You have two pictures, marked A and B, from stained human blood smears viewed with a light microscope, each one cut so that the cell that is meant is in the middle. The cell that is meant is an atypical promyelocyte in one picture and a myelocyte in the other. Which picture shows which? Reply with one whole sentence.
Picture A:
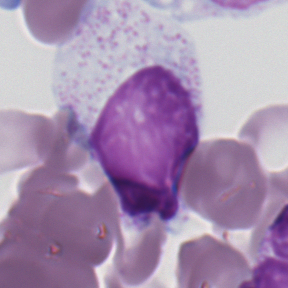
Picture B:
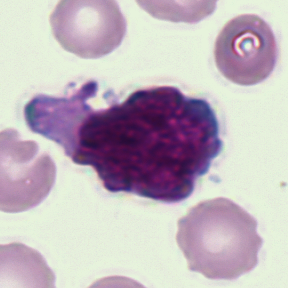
It is picture A that shows a myelocyte, and picture B that shows an atypical promyelocyte.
